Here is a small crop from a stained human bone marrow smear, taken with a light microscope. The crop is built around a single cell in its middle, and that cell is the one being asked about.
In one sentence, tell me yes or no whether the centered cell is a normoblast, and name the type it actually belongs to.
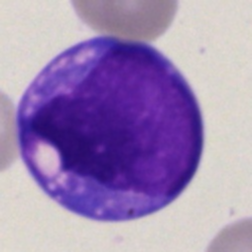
No, at the centre of this crop is found a blast instead of a normoblast.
